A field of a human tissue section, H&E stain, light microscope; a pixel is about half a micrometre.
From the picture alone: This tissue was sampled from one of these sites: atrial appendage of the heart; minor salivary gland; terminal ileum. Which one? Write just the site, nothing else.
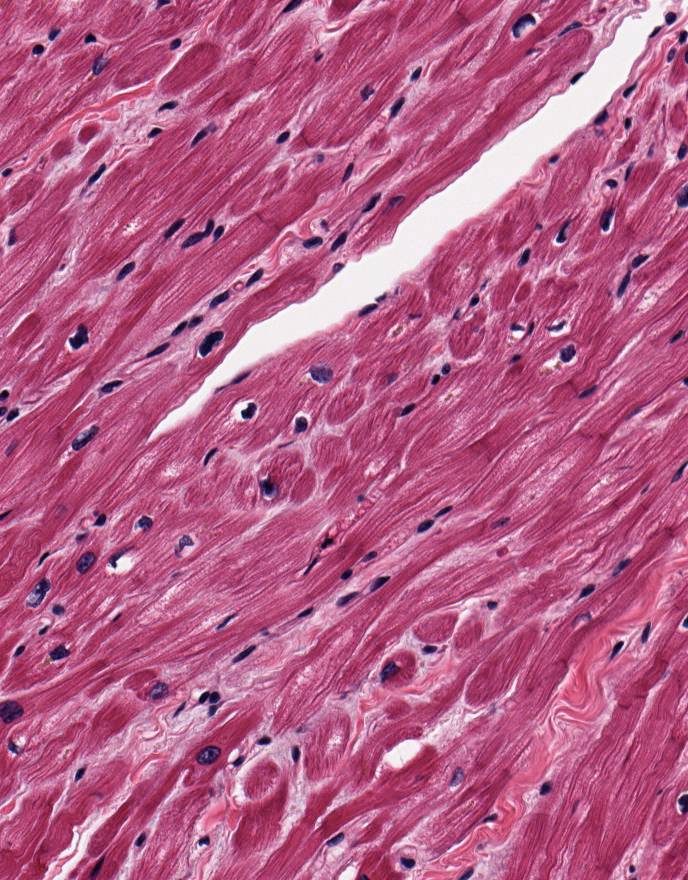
atrial appendage of the heart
